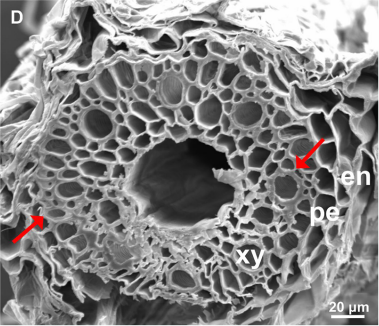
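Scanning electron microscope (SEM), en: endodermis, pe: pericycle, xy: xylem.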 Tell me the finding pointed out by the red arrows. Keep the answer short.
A: Cell wall thickening.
